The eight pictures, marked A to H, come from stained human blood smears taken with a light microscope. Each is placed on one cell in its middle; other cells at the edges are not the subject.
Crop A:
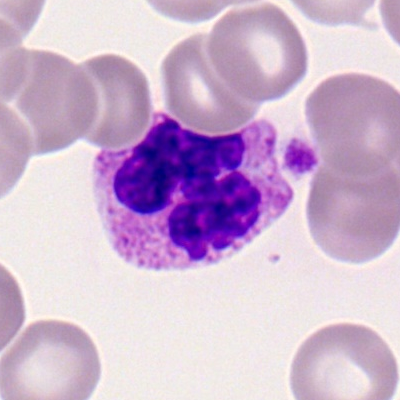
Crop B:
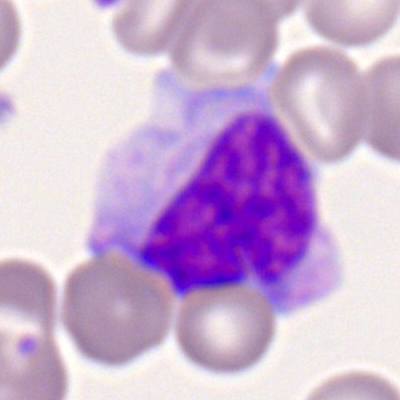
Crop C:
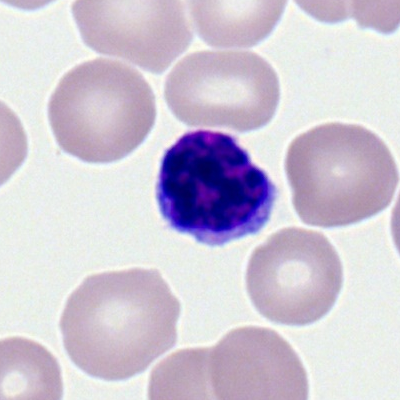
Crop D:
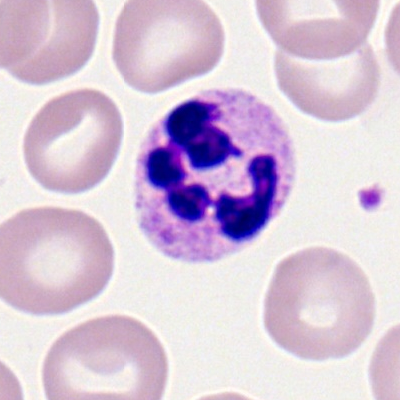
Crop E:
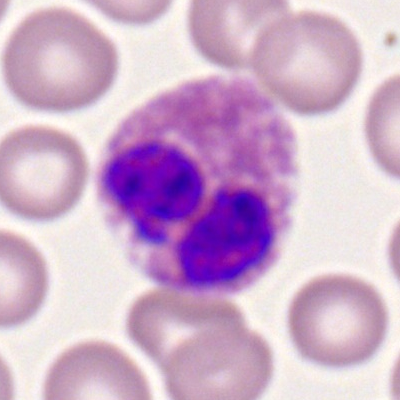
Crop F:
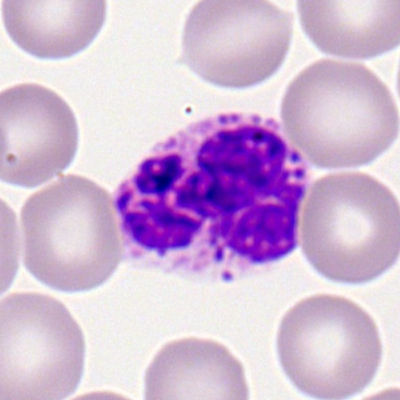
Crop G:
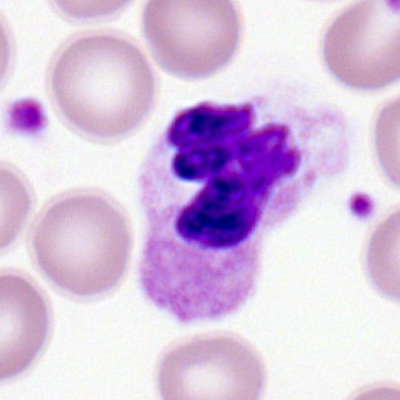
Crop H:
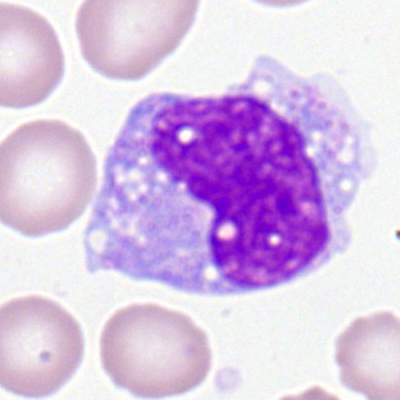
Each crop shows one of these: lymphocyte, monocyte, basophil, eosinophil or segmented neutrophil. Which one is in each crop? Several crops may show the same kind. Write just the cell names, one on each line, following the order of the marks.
basophil
monocyte
lymphocyte
segmented neutrophil
eosinophil
basophil
segmented neutrophil
monocyte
